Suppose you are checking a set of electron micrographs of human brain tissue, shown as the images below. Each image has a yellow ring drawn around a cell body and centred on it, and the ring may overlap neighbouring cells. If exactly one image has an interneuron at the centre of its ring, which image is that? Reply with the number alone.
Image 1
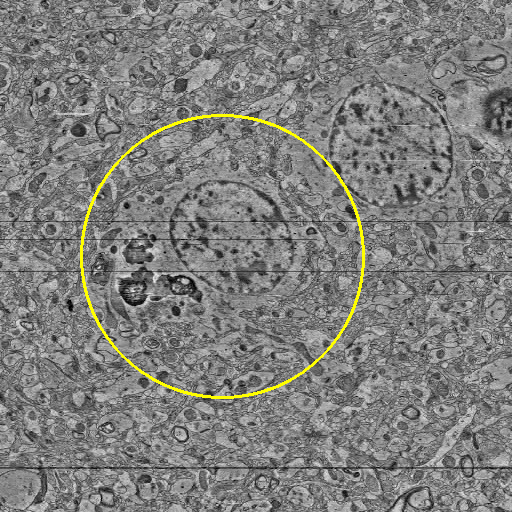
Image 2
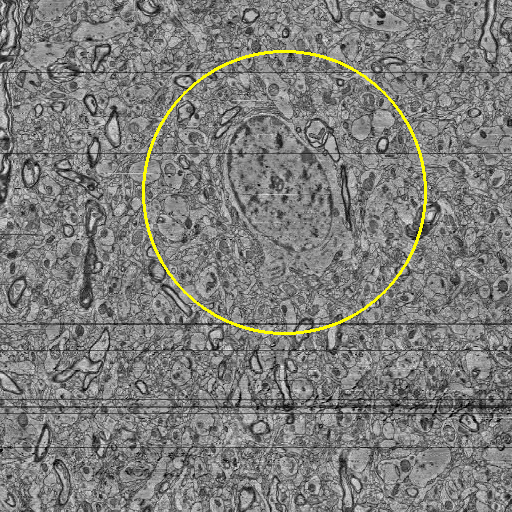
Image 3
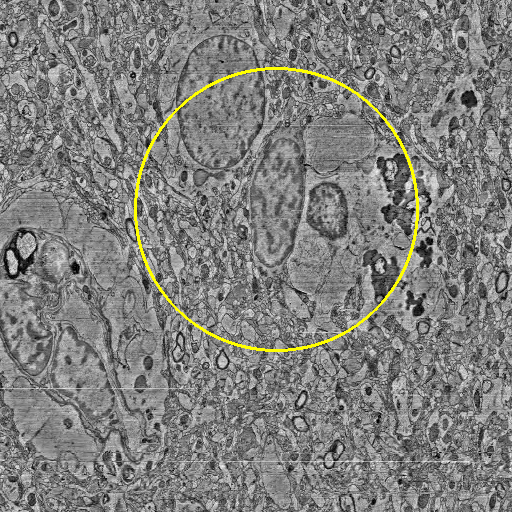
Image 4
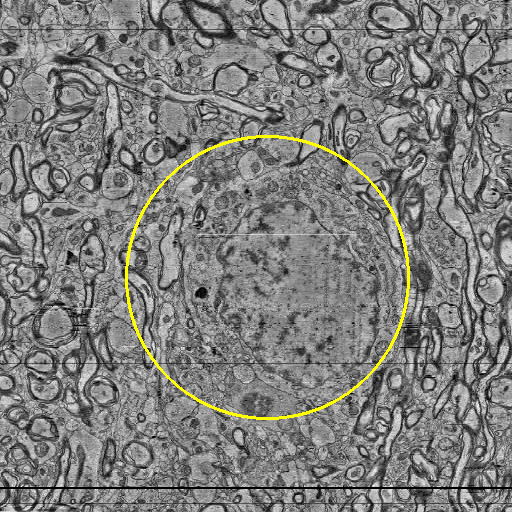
4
